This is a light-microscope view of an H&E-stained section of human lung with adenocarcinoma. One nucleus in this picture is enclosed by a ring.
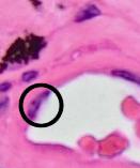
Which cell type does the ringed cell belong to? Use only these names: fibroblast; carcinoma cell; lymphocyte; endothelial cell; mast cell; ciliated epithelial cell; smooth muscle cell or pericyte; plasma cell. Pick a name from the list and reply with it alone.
endothelial cell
